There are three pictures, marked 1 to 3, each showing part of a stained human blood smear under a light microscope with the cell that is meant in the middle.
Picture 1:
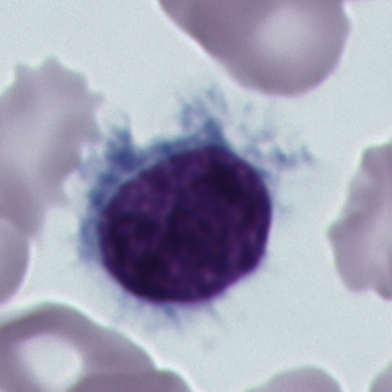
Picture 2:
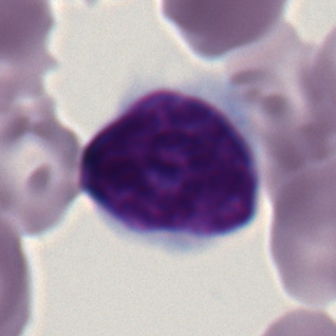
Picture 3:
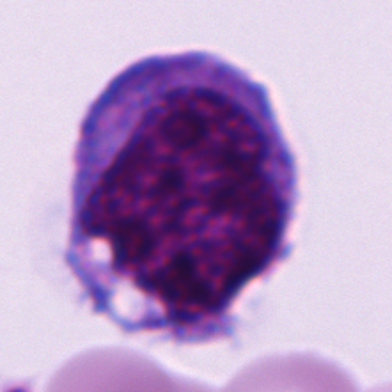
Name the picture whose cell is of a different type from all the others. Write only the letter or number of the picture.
3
